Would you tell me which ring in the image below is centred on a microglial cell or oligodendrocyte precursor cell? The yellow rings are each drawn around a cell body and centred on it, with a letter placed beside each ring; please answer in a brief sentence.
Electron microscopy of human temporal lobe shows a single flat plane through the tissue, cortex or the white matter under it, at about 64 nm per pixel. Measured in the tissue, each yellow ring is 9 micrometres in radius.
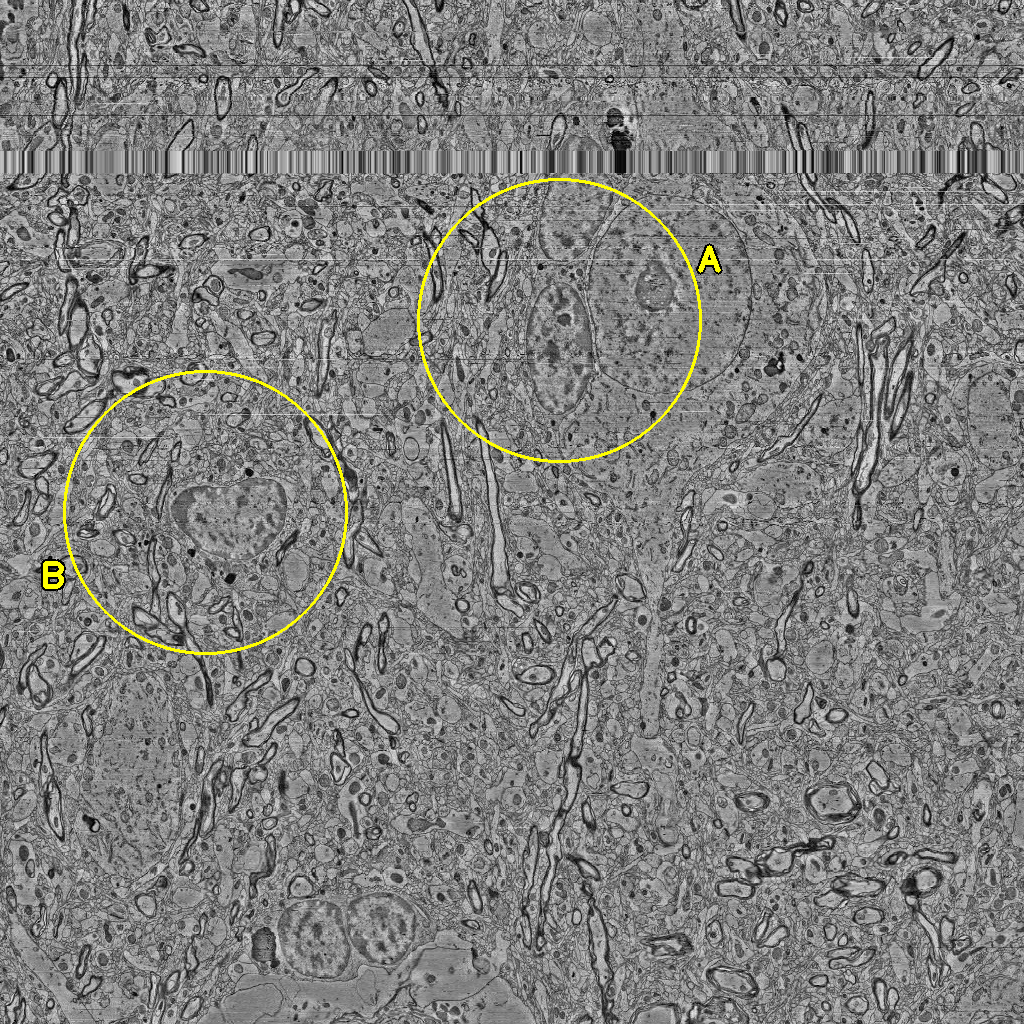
Ring B is centred on it.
